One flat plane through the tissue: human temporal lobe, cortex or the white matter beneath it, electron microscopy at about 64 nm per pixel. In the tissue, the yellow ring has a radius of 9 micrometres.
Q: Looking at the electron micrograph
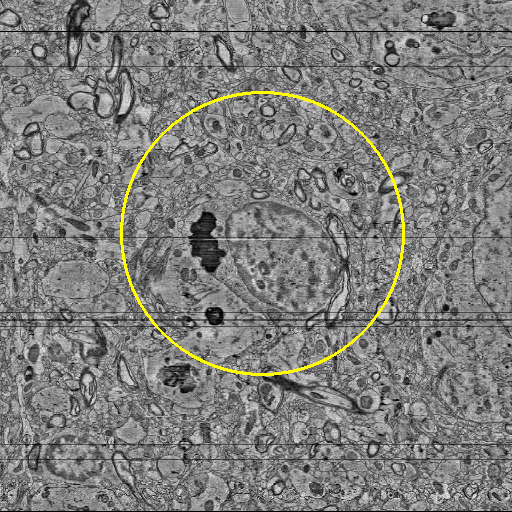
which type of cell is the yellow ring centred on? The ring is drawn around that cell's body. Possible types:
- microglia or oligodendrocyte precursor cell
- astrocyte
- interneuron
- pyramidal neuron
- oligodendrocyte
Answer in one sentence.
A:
The yellow ring is centred on an oligodendrocyte.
